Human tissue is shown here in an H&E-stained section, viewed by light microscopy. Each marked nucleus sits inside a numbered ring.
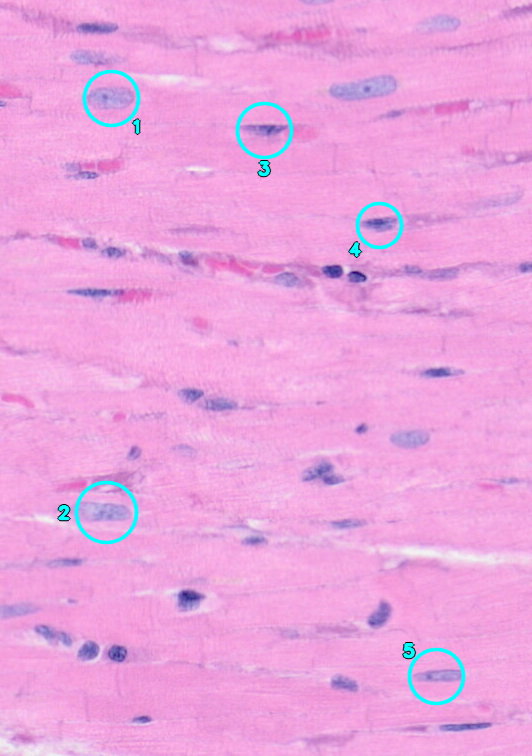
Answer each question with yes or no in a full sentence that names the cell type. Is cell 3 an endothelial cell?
Yes, to put it simply, cell number 3 is an endothelial cell.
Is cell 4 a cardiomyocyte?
No, cell 4 is not a cardiomyocyte; an endothelial cell is correct.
